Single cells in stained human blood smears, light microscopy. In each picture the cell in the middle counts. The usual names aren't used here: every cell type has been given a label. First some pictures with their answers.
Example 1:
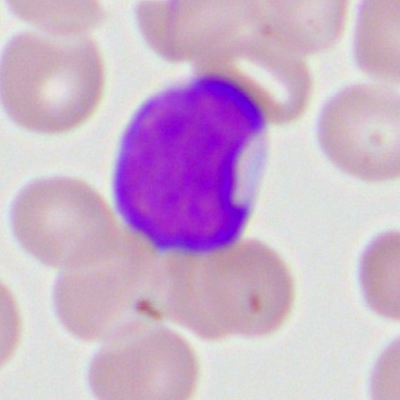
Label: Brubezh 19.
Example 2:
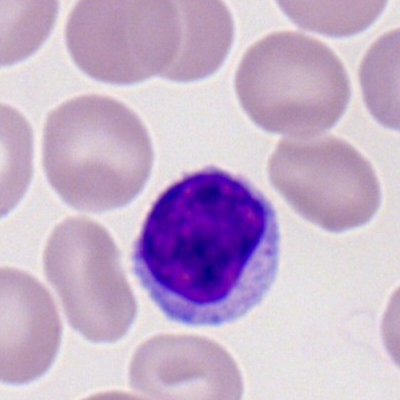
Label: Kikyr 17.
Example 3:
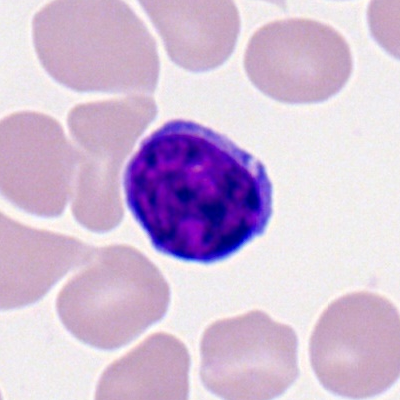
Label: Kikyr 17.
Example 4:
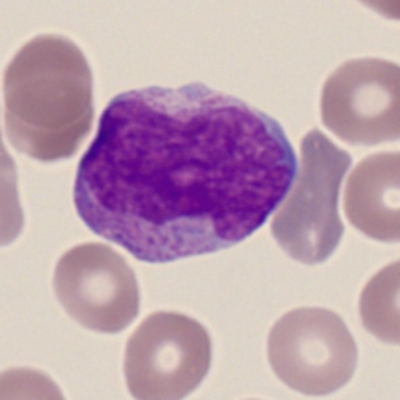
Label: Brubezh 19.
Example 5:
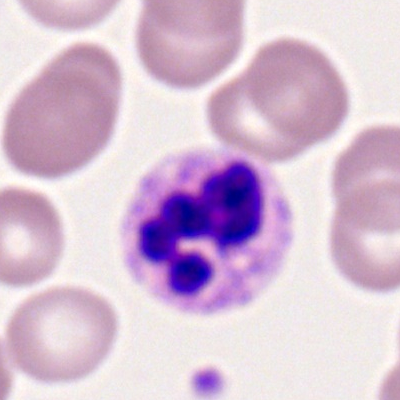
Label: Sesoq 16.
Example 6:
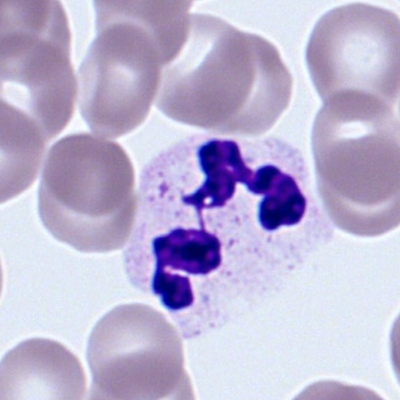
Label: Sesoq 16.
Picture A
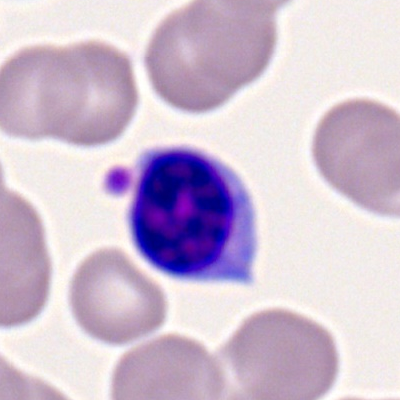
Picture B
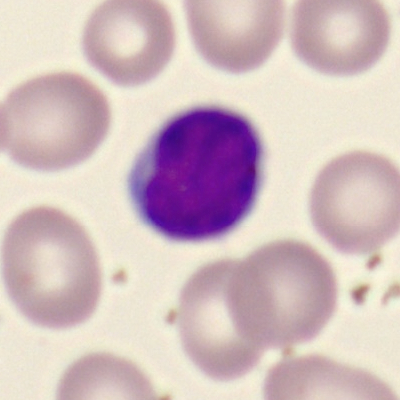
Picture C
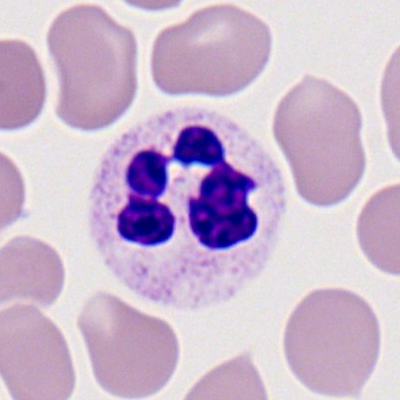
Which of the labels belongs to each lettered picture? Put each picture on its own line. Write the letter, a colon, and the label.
A: Kikyr 17.
B: Kikyr 17.
C: Sesoq 16.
